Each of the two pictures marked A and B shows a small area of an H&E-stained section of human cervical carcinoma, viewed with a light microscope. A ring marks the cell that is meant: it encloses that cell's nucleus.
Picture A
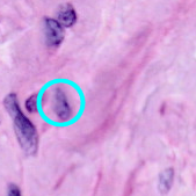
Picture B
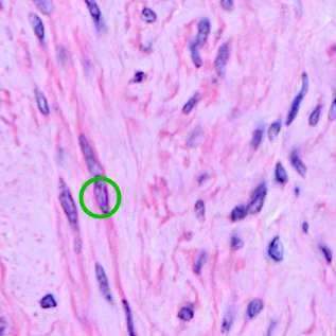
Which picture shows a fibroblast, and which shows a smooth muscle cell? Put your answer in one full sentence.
In picture A the cell is a fibroblast; in picture B, a smooth muscle cell.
